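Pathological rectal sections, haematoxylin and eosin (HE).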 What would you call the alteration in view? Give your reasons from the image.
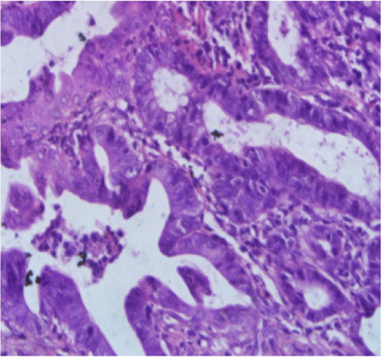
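Irregular glands are lined by crowded cells. The nuclei vary in size and shape and are large and dark. Cells lie in rows between strands of stroma. On this evidence: infiltrating neoplastic cells with marked pleomorphism.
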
